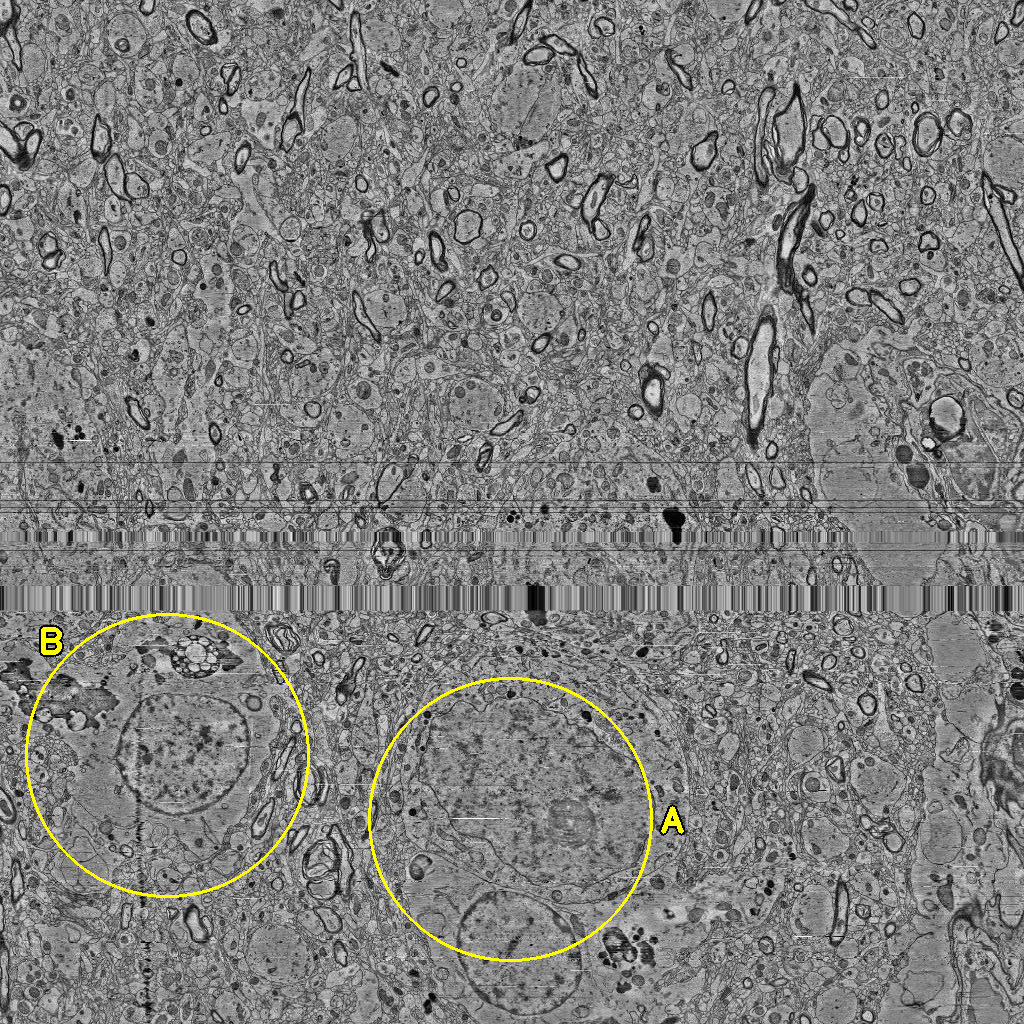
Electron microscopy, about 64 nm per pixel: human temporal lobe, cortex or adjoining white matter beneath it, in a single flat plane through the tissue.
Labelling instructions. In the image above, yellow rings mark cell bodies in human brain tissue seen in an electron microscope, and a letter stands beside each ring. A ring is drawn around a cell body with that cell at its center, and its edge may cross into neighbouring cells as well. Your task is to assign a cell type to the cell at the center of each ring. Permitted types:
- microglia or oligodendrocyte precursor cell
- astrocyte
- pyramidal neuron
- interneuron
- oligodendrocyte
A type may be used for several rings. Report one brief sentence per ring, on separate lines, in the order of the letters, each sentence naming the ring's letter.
The cell at the center of ring A is a pyramidal neuron.
The cell at the center of ring B is an astrocyte.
